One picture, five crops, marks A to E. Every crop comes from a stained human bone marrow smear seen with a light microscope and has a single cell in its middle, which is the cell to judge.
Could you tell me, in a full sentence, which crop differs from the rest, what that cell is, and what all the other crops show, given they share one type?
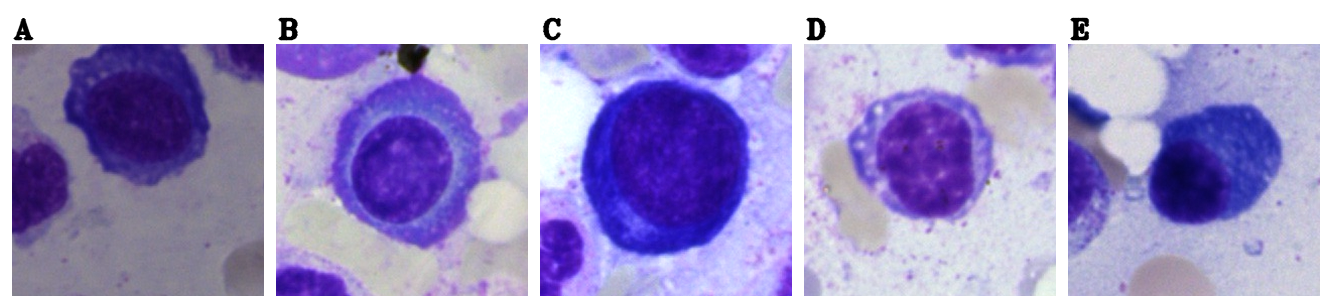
The central cell of crop C is a proerythroblast, while the other crops show plasma cells.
